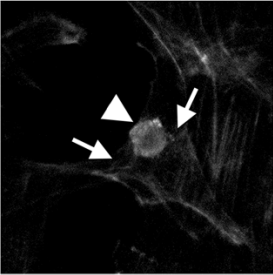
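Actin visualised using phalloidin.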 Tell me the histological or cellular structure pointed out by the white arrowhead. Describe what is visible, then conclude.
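Fine fibres of a larger cell lie around the small round cell. That points to this answer: ring-like structures.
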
